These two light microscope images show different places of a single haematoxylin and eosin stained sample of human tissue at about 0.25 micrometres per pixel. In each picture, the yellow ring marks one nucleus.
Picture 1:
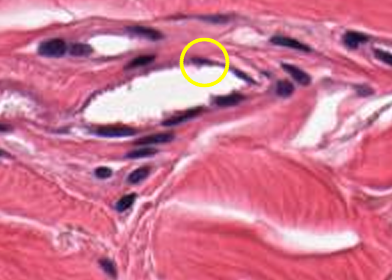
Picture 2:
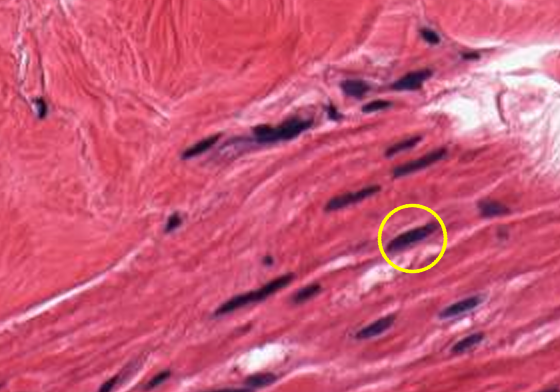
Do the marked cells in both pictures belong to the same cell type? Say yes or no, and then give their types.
No, the first is an endothelial cell and the second a smooth muscle cell.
